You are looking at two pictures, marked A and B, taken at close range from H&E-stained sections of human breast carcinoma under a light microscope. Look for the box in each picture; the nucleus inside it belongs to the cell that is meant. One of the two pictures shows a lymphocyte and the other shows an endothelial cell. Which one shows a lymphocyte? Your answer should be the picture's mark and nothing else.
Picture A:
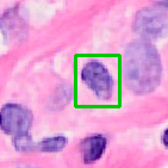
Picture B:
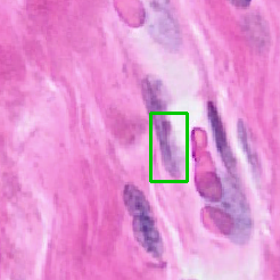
A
